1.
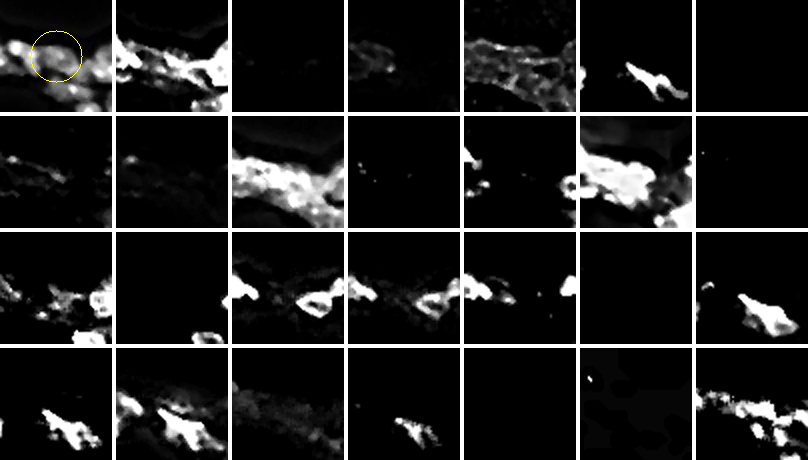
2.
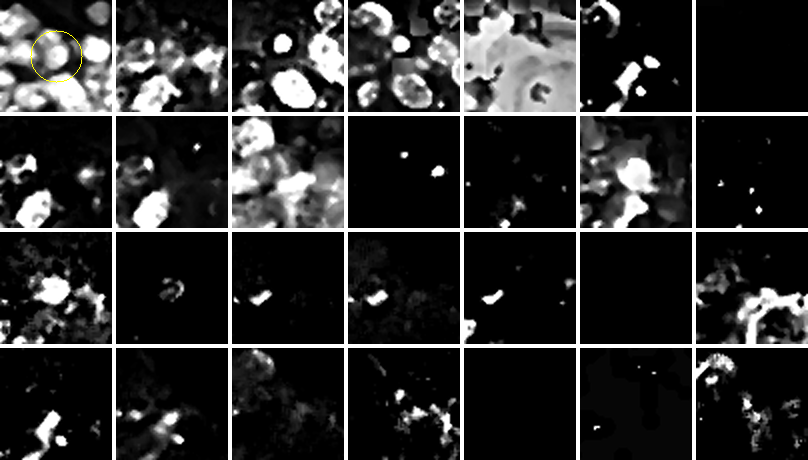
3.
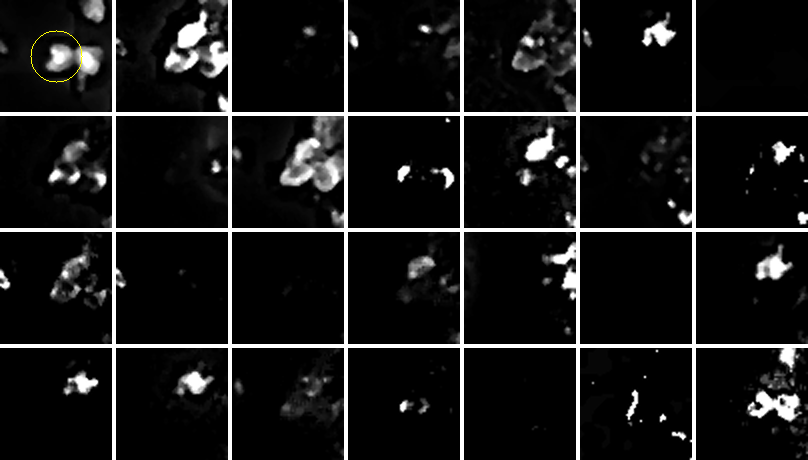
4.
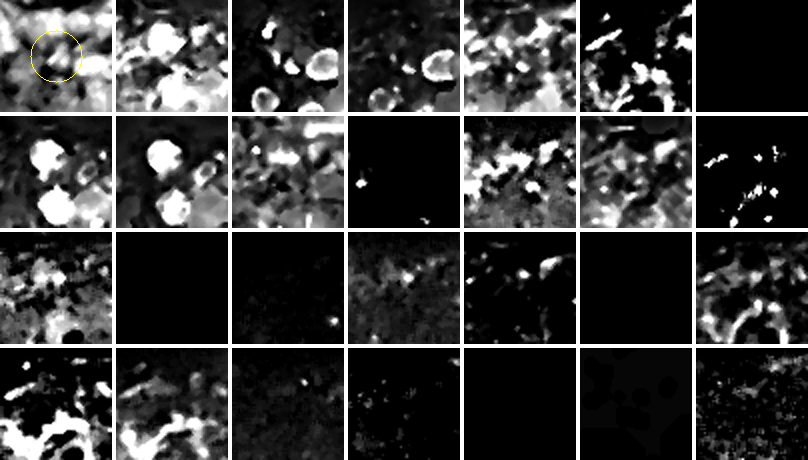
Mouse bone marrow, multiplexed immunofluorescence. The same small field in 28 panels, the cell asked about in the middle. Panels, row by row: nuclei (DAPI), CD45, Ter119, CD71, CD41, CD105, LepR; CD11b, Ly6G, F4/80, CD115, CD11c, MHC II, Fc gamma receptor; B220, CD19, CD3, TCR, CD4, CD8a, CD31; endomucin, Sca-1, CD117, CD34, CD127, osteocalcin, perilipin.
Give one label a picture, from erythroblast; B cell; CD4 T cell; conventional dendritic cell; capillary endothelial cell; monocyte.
(1) capillary endothelial cell
(2) capillary endothelial cell
(3) monocyte
(4) conventional dendritic cell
